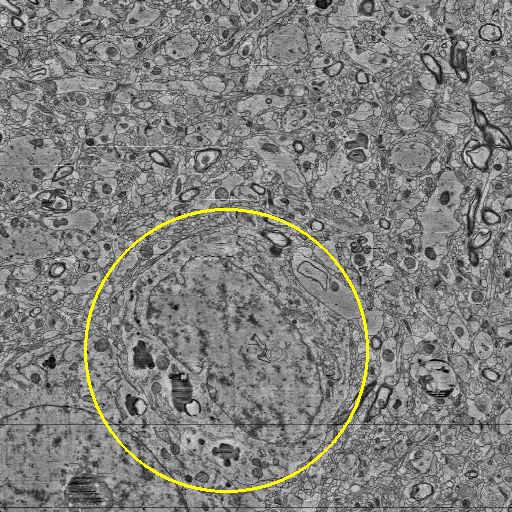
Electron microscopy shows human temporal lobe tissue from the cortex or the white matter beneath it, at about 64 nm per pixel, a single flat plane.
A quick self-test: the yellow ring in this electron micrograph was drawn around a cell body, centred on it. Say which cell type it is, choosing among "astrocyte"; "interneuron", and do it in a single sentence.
The yellow-ringed cell is an interneuron.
